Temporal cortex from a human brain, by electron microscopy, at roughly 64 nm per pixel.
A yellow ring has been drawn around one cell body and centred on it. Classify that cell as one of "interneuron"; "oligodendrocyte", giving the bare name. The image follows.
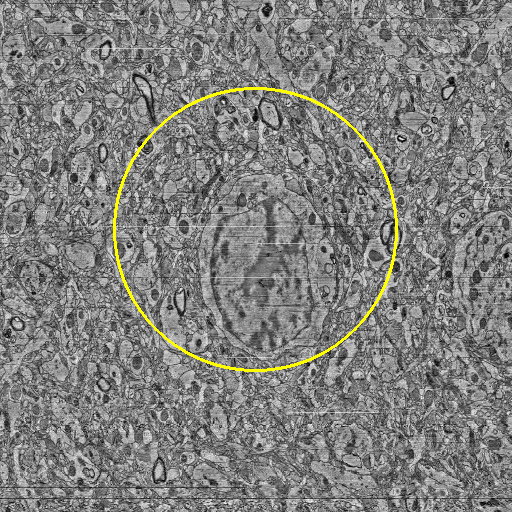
interneuron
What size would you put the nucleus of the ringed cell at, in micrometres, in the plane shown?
In this plane the nucleus is about 10 micrometres by 7.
